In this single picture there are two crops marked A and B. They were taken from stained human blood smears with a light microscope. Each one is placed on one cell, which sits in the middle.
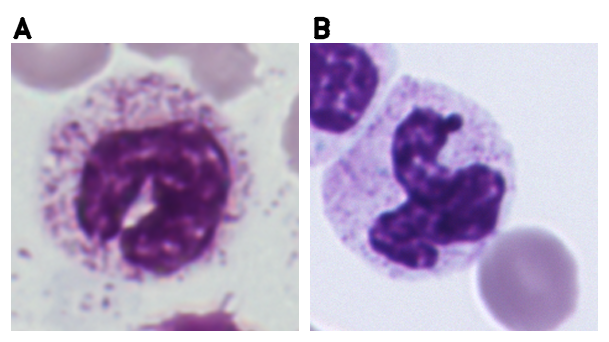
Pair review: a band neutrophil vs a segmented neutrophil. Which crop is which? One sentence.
Placed in the middle of crop A is a band neutrophil, and in the middle of crop B, a segmented neutrophil.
